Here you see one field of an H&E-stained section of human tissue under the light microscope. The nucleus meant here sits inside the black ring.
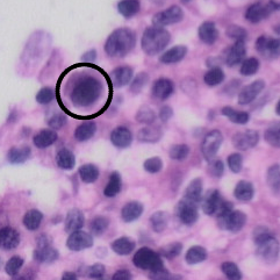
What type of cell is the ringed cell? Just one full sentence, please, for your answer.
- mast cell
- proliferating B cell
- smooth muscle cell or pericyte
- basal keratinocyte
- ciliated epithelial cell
In this tissue section, the ringed cell is to be classed as a proliferating B cell.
